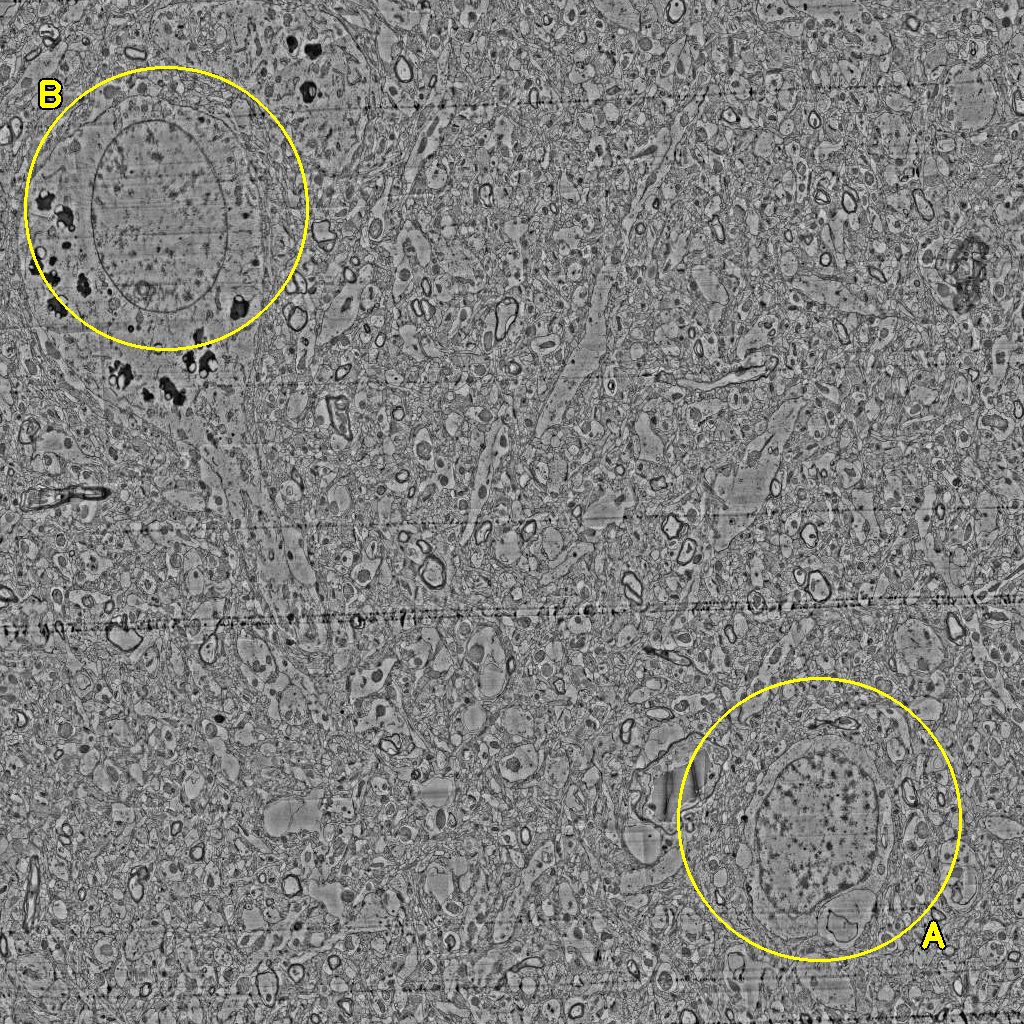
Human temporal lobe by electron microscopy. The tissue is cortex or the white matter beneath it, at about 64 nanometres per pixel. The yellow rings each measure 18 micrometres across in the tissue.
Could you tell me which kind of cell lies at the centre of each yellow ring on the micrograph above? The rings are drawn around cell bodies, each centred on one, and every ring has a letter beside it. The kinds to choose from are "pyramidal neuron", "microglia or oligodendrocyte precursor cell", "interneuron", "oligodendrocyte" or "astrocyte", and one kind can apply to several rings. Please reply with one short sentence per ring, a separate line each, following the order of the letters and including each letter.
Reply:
Ring A circles an interneuron.
Ring B circles a pyramidal neuron.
